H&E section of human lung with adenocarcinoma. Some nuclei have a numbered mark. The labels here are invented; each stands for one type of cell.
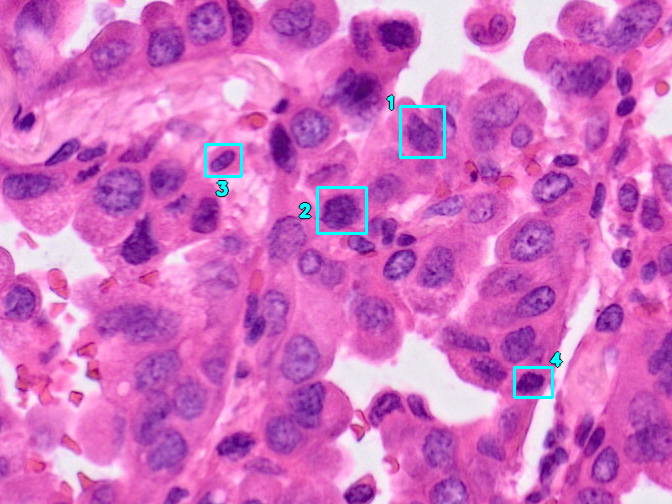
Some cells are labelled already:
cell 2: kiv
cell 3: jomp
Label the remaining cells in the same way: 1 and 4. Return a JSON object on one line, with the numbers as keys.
{"1": "kiv", "4": "kiv"}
